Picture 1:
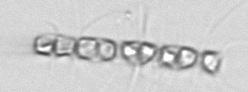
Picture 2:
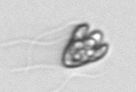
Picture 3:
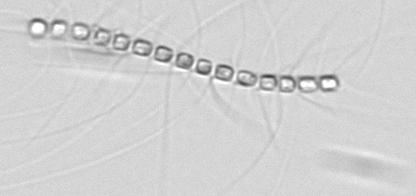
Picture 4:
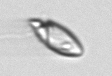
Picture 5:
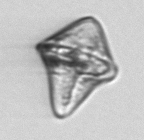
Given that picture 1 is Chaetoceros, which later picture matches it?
3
